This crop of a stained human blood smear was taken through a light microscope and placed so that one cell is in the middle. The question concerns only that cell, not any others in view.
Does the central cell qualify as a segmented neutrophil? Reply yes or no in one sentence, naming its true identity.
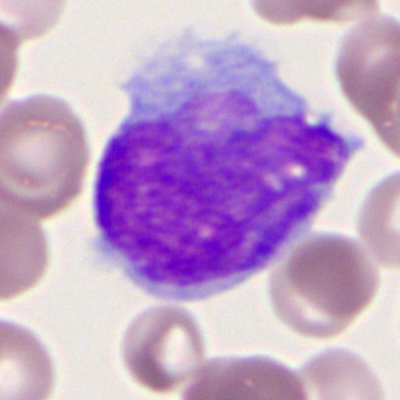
No, mark the middle cell as a monocyte, not a segmented neutrophil.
